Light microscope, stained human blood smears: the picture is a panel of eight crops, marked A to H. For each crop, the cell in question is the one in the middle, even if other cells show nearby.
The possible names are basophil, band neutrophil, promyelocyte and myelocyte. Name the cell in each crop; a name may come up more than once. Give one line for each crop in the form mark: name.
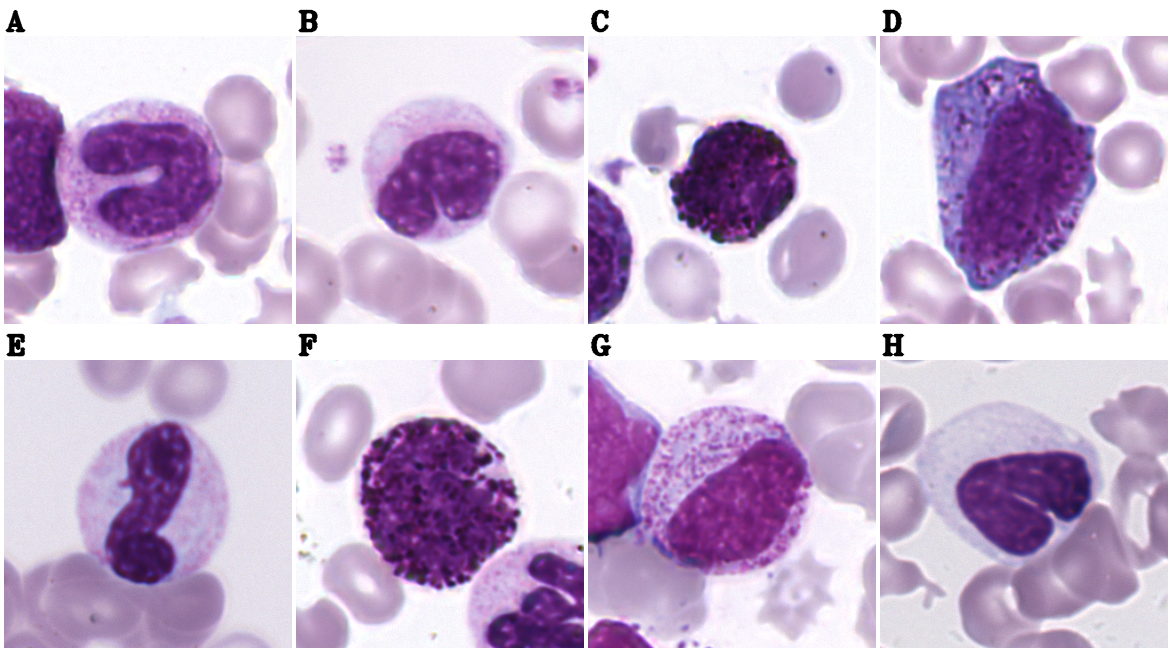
A: band neutrophil
B: band neutrophil
C: basophil
D: promyelocyte
E: band neutrophil
F: basophil
G: myelocyte
H: band neutrophil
